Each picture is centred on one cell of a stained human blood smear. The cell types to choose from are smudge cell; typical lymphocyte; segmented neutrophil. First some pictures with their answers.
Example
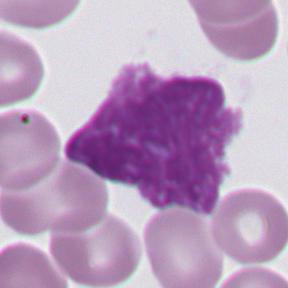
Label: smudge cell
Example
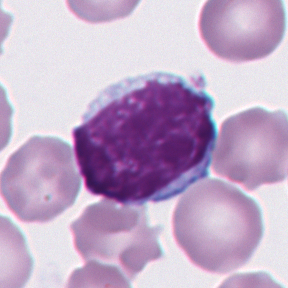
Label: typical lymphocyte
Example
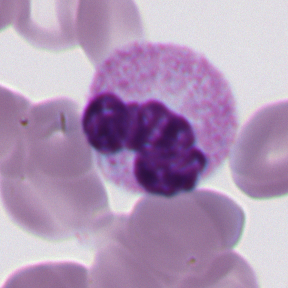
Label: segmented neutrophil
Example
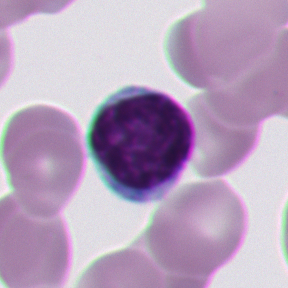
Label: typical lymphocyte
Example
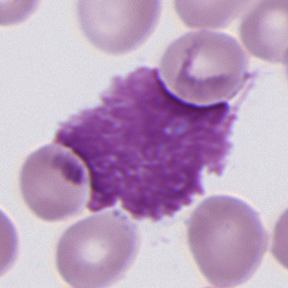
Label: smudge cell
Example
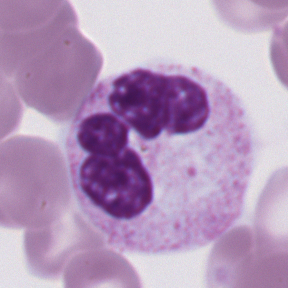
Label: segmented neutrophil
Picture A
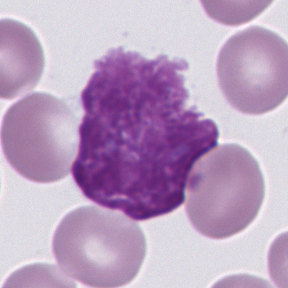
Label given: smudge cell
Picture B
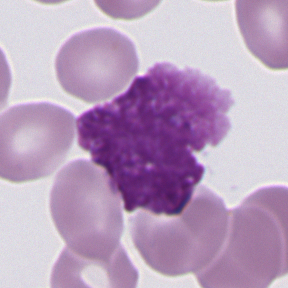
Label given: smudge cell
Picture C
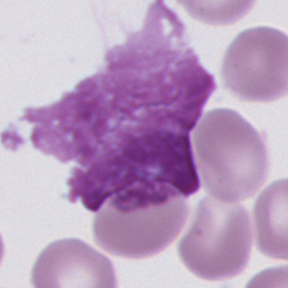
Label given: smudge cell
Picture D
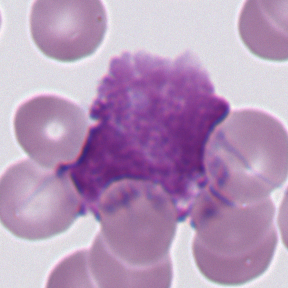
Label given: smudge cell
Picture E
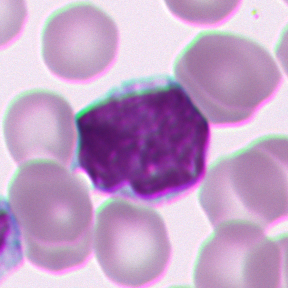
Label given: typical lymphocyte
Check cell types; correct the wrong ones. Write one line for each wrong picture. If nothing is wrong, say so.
Every label is right.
